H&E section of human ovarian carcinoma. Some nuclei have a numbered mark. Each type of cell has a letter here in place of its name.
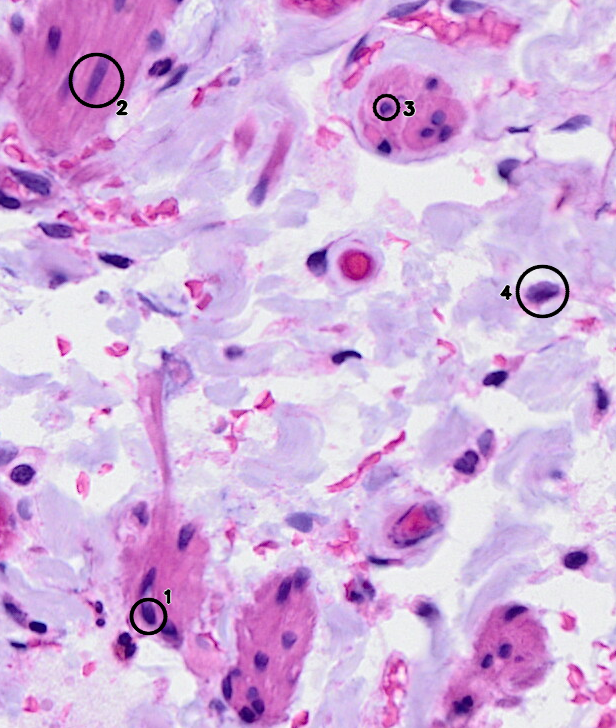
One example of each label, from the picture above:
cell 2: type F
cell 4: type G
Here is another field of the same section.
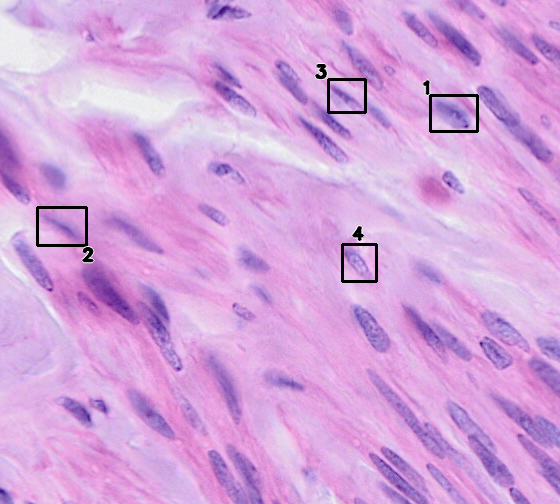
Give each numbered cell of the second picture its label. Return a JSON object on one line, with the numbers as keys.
{"1": "type G", "2": "type F", "3": "type F", "4": "type F"}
